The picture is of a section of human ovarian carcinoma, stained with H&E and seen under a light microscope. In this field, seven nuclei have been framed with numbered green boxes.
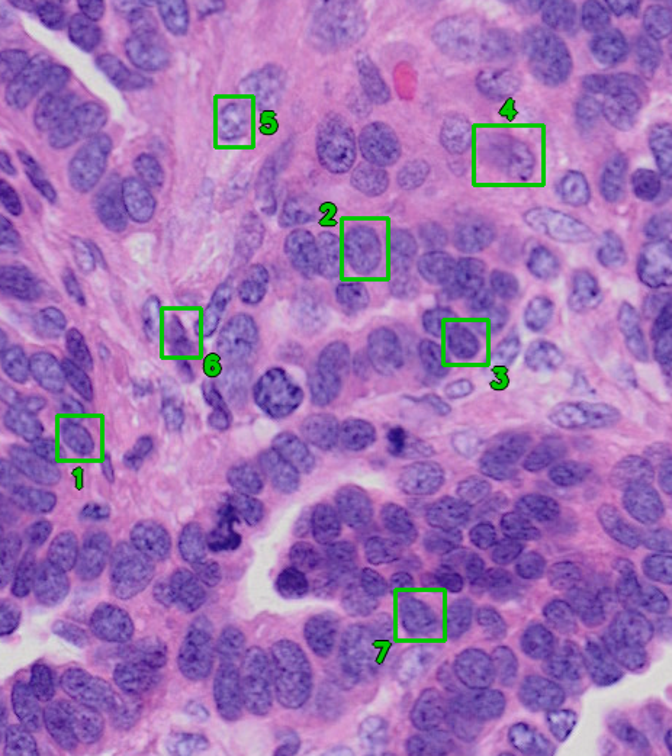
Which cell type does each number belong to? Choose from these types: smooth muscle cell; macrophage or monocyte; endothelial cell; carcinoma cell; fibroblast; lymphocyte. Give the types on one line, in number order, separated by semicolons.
carcinoma cell; carcinoma cell; carcinoma cell; fibroblast; fibroblast; fibroblast; carcinoma cell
